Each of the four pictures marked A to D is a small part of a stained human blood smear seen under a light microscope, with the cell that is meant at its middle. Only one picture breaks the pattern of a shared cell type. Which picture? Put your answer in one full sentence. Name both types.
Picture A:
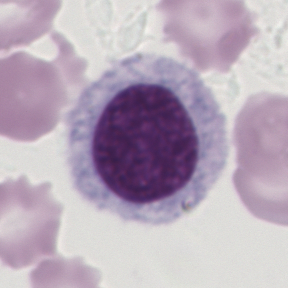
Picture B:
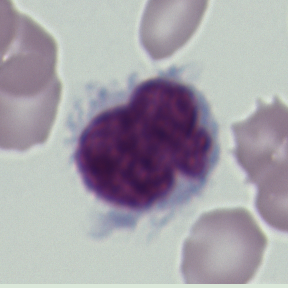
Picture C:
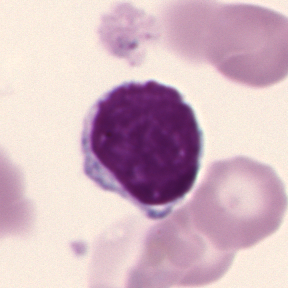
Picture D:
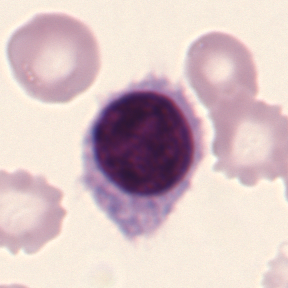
Picture C is the odd one out: it shows a typical lymphocyte, while the others show hairy cells.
